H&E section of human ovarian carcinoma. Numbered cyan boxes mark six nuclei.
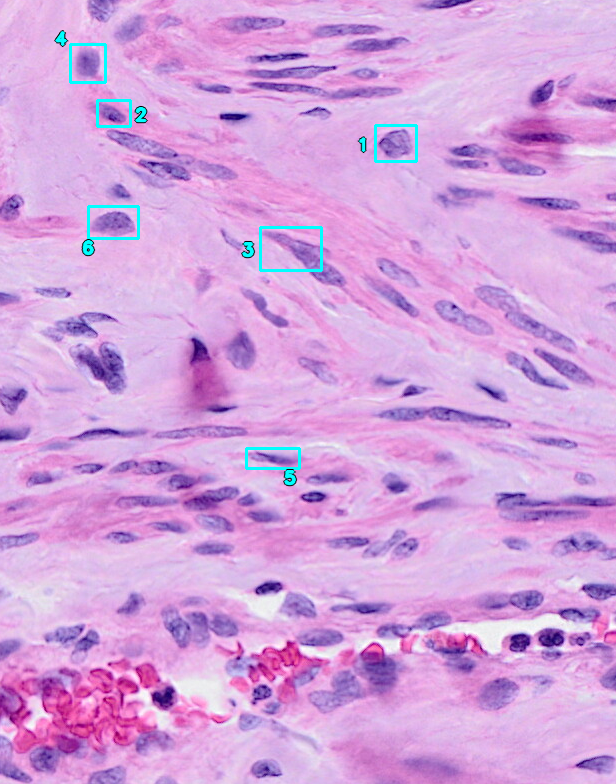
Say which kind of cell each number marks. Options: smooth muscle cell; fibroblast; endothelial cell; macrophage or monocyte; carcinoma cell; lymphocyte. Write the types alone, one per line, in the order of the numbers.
fibroblast
smooth muscle cell
smooth muscle cell
fibroblast
smooth muscle cell
fibroblast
